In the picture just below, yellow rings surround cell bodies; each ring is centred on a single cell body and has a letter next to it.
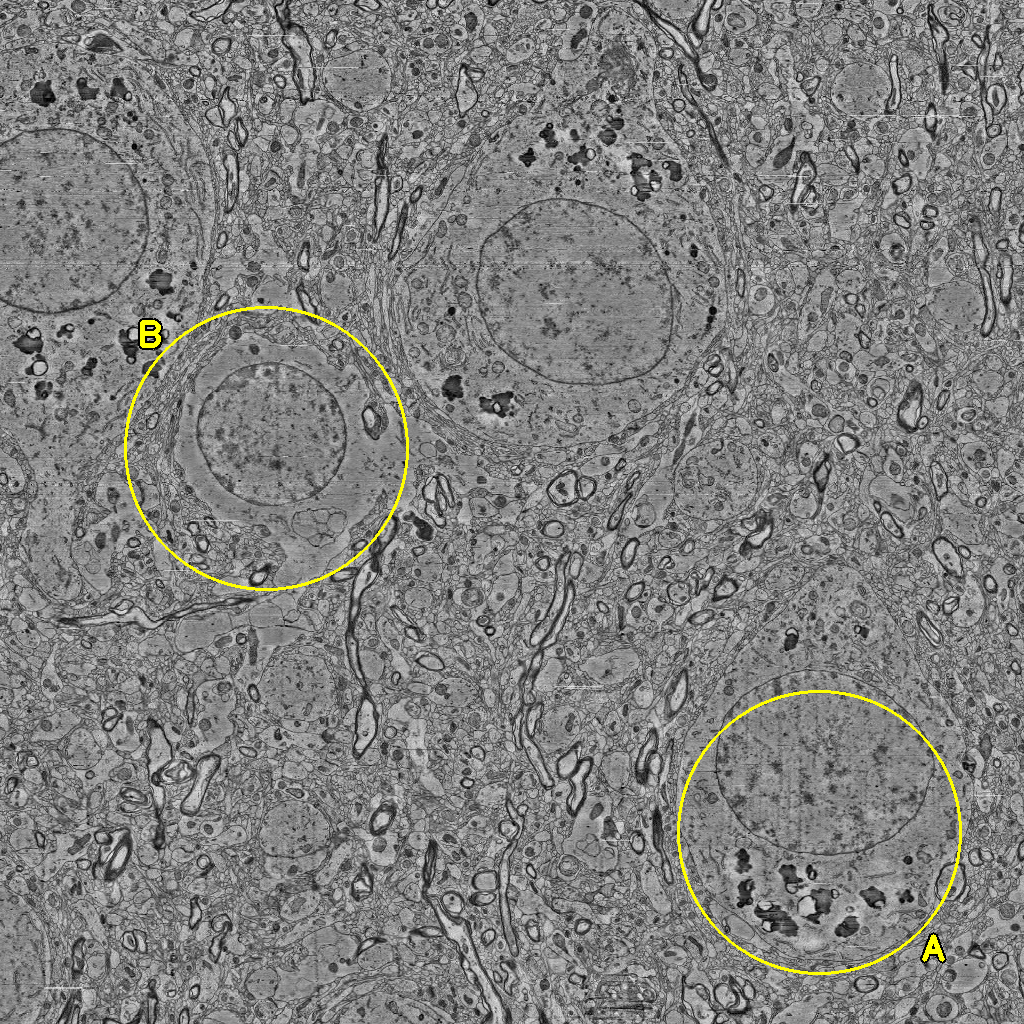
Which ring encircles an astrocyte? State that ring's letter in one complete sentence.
The letter B marks the ring centred on the cell asked for in the picture.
